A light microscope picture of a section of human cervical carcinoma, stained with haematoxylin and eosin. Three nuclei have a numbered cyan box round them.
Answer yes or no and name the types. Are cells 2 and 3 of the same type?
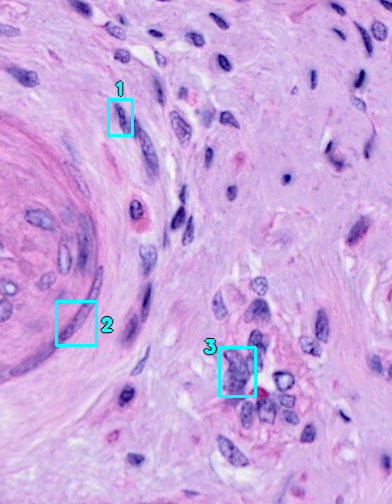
No, cell 2 is a smooth muscle cell, and in contrast cell 3 is an endothelial cell.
